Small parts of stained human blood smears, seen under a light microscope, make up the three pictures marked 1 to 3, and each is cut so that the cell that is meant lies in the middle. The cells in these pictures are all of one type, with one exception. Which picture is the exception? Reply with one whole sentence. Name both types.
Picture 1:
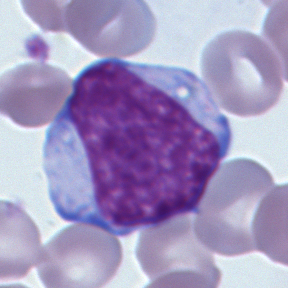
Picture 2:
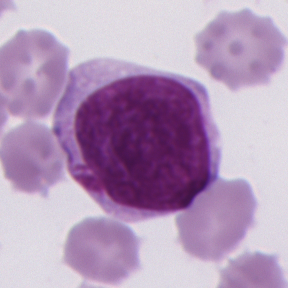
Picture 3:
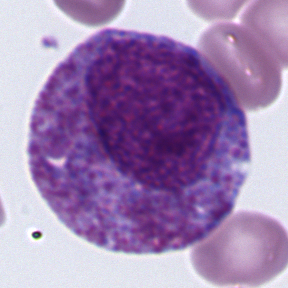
Picture 3 differs, because its cell is a promyelocyte and the rest are myeloblasts.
